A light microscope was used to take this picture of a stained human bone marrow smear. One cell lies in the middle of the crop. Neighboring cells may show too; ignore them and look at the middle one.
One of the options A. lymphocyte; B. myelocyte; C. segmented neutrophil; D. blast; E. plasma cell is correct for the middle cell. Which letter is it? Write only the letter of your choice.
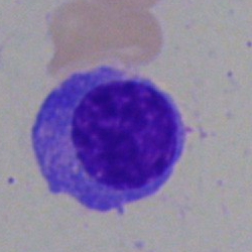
E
